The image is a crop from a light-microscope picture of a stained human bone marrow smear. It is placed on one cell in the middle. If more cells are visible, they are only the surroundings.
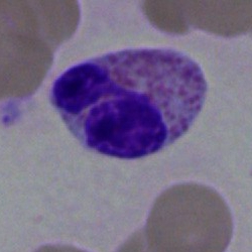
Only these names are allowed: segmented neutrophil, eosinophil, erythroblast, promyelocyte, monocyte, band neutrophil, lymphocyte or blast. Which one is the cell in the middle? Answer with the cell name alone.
eosinophil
